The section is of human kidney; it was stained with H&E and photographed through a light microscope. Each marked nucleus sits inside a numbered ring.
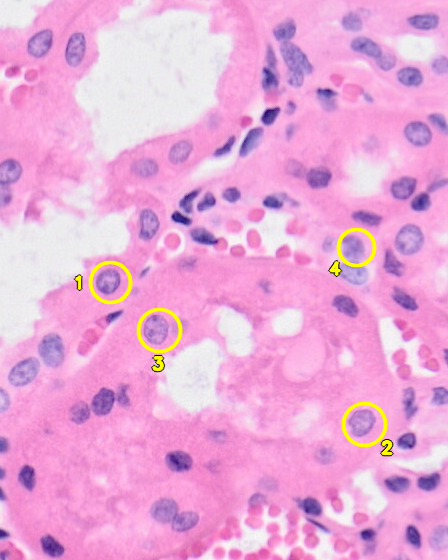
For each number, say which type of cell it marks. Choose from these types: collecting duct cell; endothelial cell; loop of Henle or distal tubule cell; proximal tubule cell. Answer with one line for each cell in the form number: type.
1: proximal tubule cell
2: proximal tubule cell
3: proximal tubule cell
4: collecting duct cell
